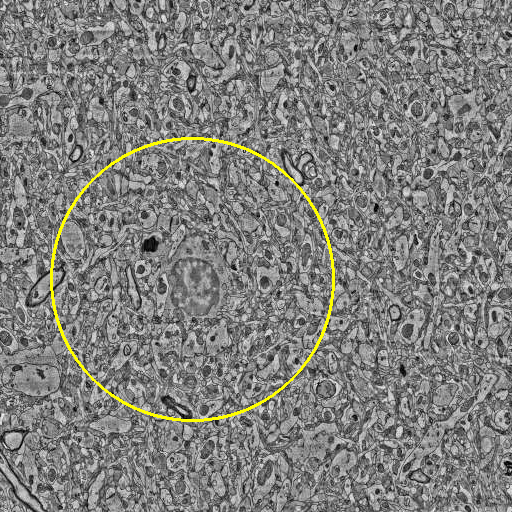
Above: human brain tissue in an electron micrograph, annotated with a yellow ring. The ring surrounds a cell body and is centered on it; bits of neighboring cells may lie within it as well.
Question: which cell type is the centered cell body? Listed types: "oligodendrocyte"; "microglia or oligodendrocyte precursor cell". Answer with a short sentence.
The centered cell body is an oligodendrocyte.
